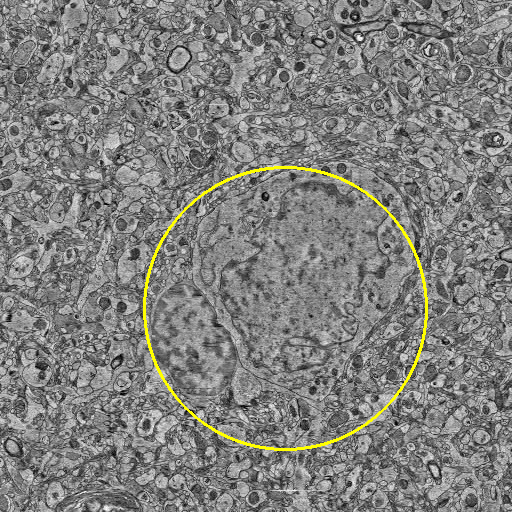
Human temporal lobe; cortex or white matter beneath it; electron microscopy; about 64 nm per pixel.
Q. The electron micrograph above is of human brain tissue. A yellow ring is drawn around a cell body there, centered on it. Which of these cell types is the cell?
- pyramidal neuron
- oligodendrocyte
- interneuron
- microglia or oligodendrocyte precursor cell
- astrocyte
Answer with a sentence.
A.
The cell under the ring's center is an interneuron.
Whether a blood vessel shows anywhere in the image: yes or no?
No, none shows.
